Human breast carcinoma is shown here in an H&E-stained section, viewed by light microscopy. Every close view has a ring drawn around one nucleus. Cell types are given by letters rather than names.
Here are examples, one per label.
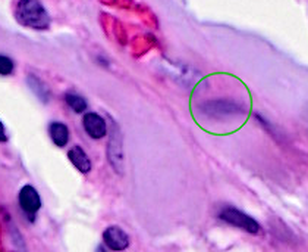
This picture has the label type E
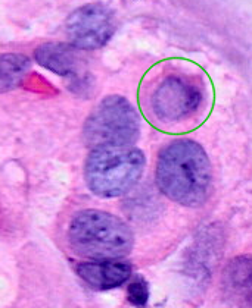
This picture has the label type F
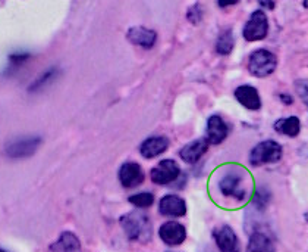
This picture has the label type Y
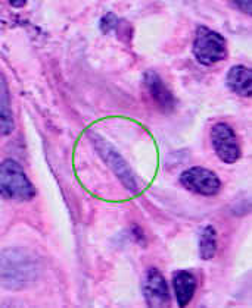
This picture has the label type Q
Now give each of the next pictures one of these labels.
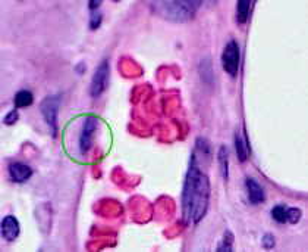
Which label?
type E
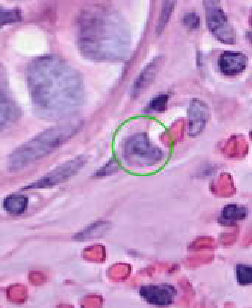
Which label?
type E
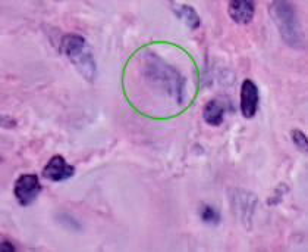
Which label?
type Q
